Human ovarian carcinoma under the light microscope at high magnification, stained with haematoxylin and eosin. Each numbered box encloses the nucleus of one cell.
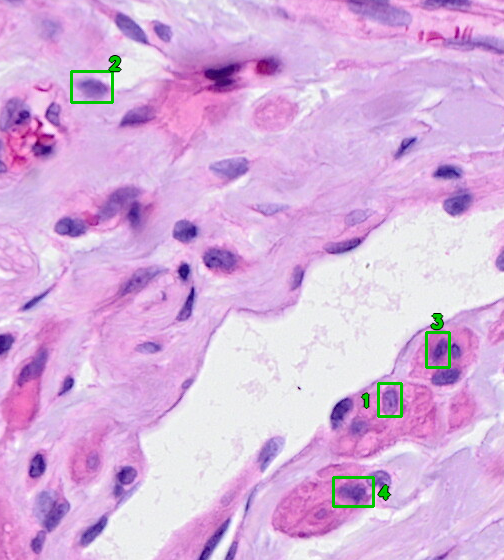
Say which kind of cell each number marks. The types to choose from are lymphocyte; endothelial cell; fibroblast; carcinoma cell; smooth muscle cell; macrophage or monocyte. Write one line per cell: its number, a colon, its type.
1: smooth muscle cell
2: fibroblast
3: smooth muscle cell
4: smooth muscle cell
